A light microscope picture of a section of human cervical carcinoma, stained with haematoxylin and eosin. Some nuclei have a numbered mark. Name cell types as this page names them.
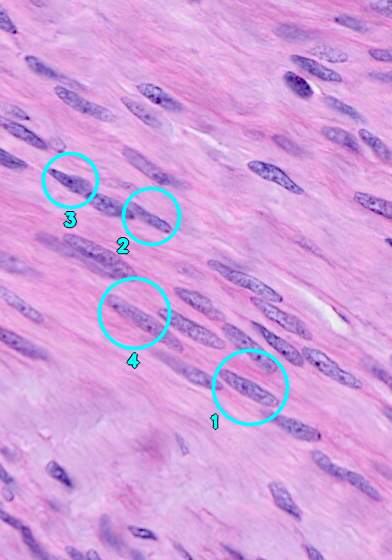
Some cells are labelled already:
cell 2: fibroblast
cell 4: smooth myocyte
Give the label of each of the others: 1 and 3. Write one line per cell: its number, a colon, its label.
1: smooth myocyte
3: fibroblast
